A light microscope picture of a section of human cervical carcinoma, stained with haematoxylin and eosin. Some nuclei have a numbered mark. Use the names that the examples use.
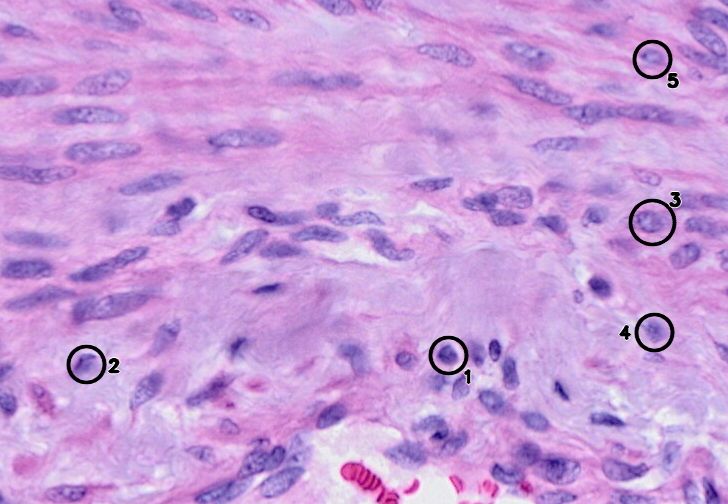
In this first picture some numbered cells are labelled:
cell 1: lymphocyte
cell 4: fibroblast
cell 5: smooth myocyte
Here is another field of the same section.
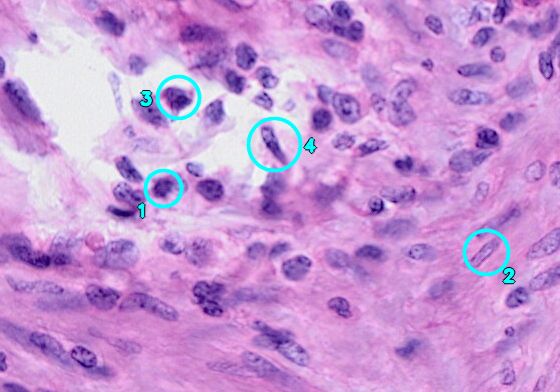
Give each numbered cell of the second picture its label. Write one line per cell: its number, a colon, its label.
1: lymphocyte
2: smooth myocyte
3: lymphocyte
4: lymphocyte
